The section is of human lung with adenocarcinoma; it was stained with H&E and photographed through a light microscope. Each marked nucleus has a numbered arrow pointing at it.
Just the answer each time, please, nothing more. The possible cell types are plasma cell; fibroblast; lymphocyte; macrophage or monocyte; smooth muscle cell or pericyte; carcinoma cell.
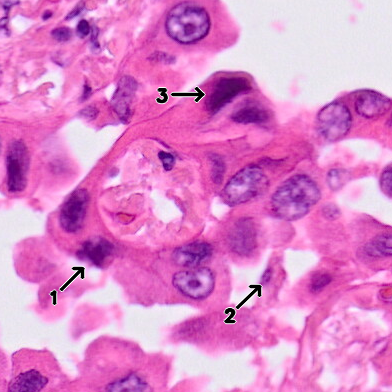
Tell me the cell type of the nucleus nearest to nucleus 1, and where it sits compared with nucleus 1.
a carcinoma cell, above and to the left of nucleus 1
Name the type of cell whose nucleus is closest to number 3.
carcinoma cell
